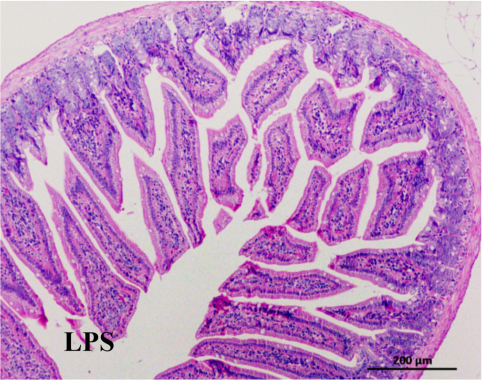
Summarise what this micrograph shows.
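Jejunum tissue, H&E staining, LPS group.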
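A curved segment of small intestinal wall stained pink and purple shows villi that are broad, irregular and in places shortened, separated by wide clefts that run toward a central lumen. Each villus has a single epithelial layer over a pink core, while a purple crypt zone and a thin pink muscular wall form the outer rim.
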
